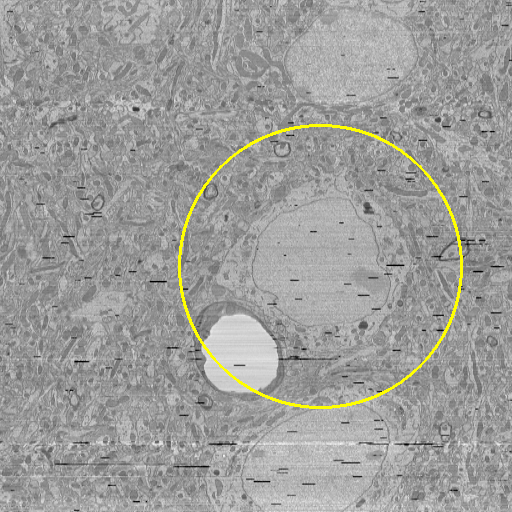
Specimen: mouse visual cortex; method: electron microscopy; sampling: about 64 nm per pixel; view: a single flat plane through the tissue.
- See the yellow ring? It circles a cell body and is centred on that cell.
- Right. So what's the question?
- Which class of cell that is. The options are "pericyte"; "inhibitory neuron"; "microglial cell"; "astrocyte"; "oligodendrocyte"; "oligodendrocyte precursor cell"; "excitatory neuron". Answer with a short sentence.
The centre of the ring holds an excitatory neuron.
